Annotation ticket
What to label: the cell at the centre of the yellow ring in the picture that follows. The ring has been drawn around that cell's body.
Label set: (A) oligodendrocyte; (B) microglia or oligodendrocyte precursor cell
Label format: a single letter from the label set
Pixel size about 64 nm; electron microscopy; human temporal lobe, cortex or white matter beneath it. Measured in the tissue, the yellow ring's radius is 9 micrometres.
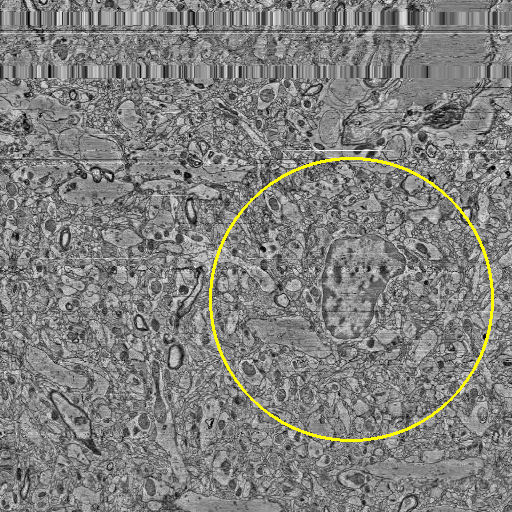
B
